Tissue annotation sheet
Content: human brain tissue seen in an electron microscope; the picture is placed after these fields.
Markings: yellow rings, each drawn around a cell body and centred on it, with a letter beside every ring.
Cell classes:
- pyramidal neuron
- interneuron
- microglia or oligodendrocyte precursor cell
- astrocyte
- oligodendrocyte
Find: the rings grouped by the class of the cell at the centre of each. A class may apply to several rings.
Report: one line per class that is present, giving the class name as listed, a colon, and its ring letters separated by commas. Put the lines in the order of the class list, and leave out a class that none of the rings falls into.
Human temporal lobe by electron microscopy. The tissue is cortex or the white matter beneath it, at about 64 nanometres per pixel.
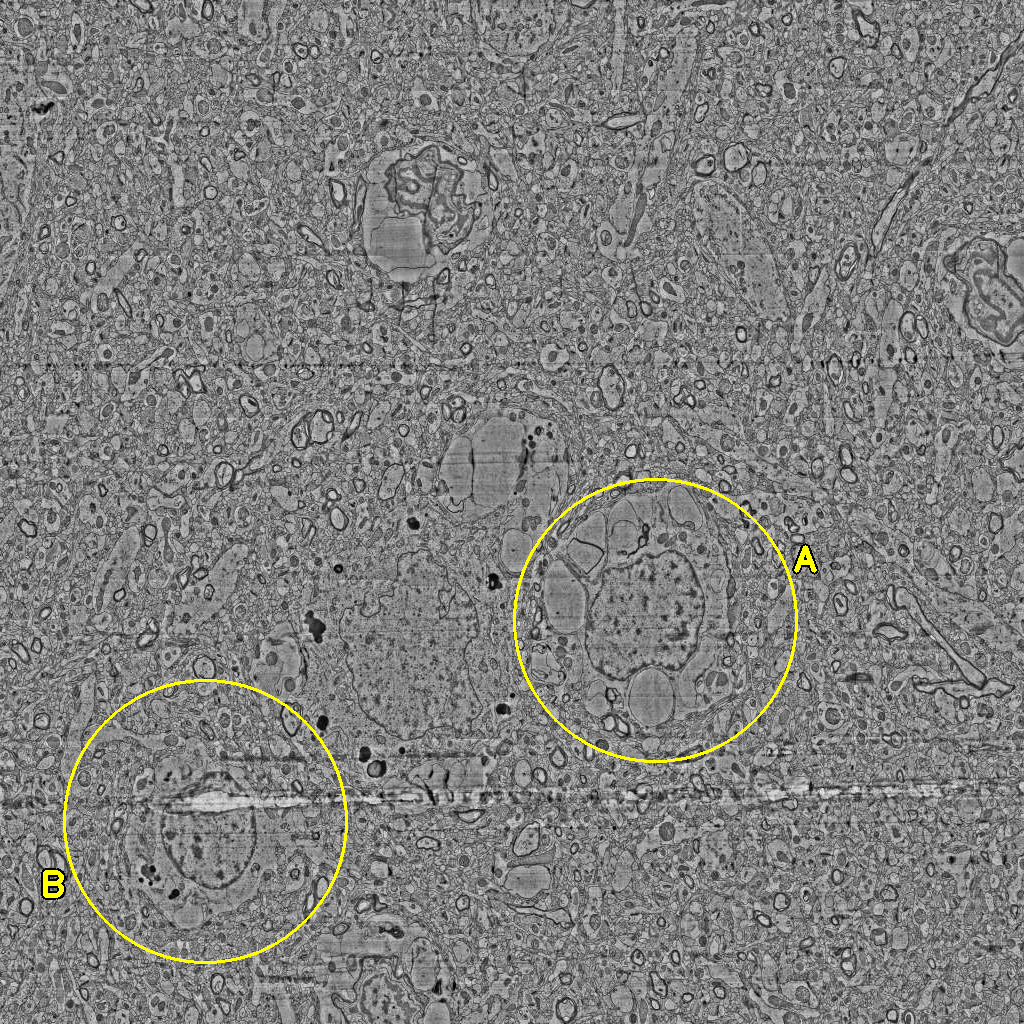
astrocyte: A, B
